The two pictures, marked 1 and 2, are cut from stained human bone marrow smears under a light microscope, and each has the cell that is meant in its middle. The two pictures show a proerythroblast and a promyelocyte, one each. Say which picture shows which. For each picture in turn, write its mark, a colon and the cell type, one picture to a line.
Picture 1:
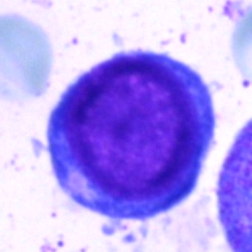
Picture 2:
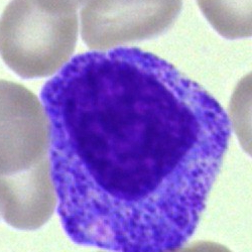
1: proerythroblast
2: promyelocyte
